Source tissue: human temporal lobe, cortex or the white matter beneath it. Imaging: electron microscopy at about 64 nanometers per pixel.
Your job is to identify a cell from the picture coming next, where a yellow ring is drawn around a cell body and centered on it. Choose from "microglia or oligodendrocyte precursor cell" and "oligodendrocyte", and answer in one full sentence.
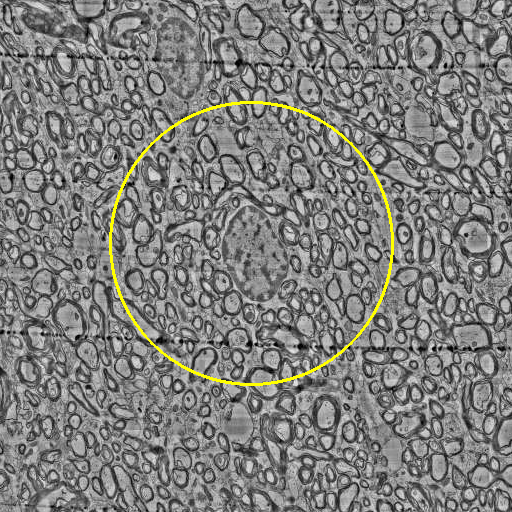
Centered in the yellow ring of the picture is the body of a microglial cell or oligodendrocyte precursor cell.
